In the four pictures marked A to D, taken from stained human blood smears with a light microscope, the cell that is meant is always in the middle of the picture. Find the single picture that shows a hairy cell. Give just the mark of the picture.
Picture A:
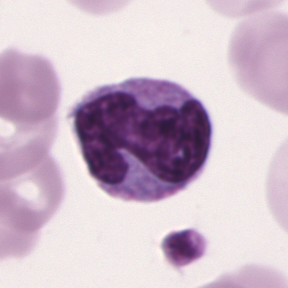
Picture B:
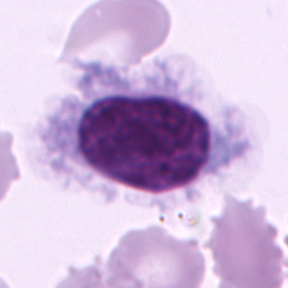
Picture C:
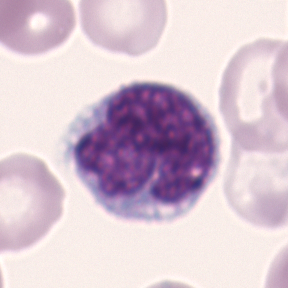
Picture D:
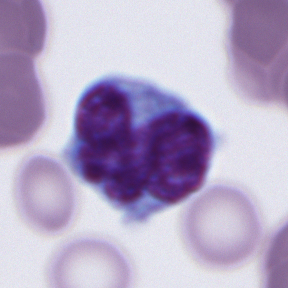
B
